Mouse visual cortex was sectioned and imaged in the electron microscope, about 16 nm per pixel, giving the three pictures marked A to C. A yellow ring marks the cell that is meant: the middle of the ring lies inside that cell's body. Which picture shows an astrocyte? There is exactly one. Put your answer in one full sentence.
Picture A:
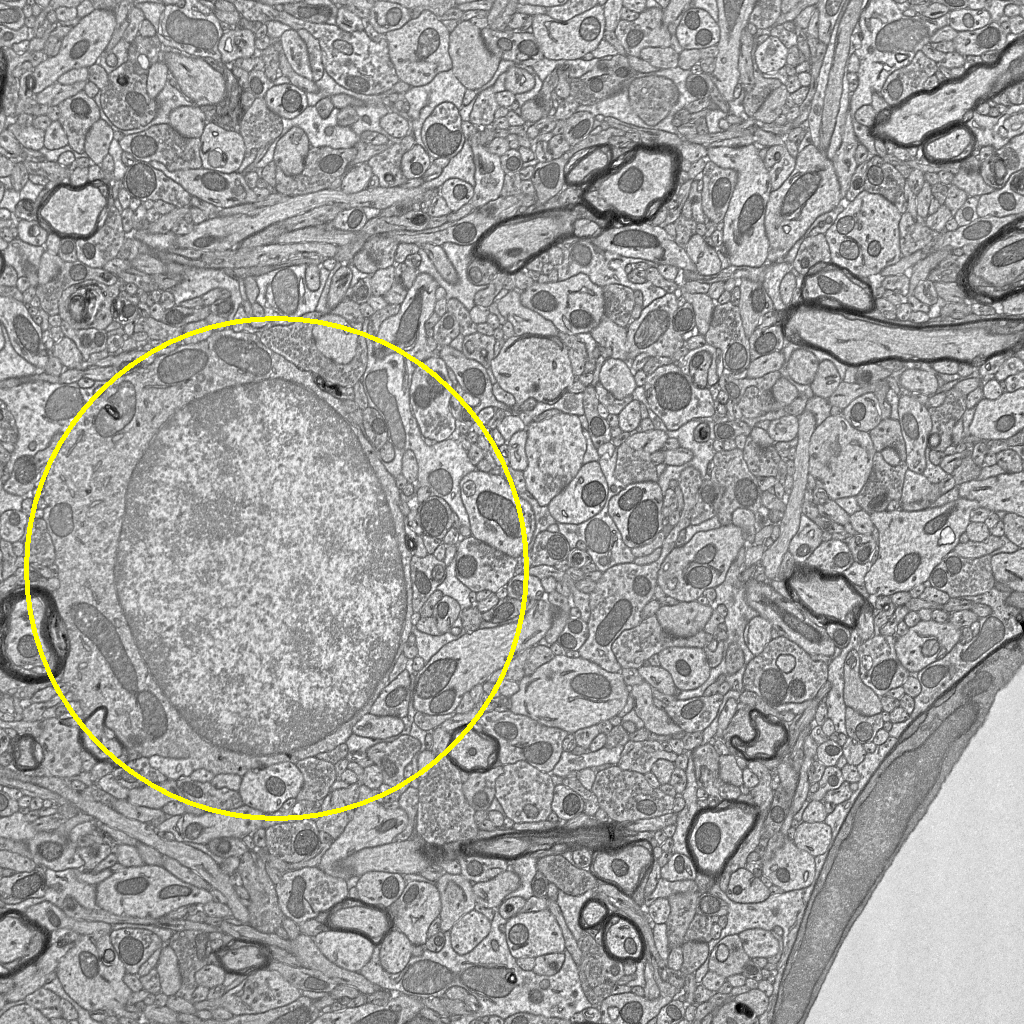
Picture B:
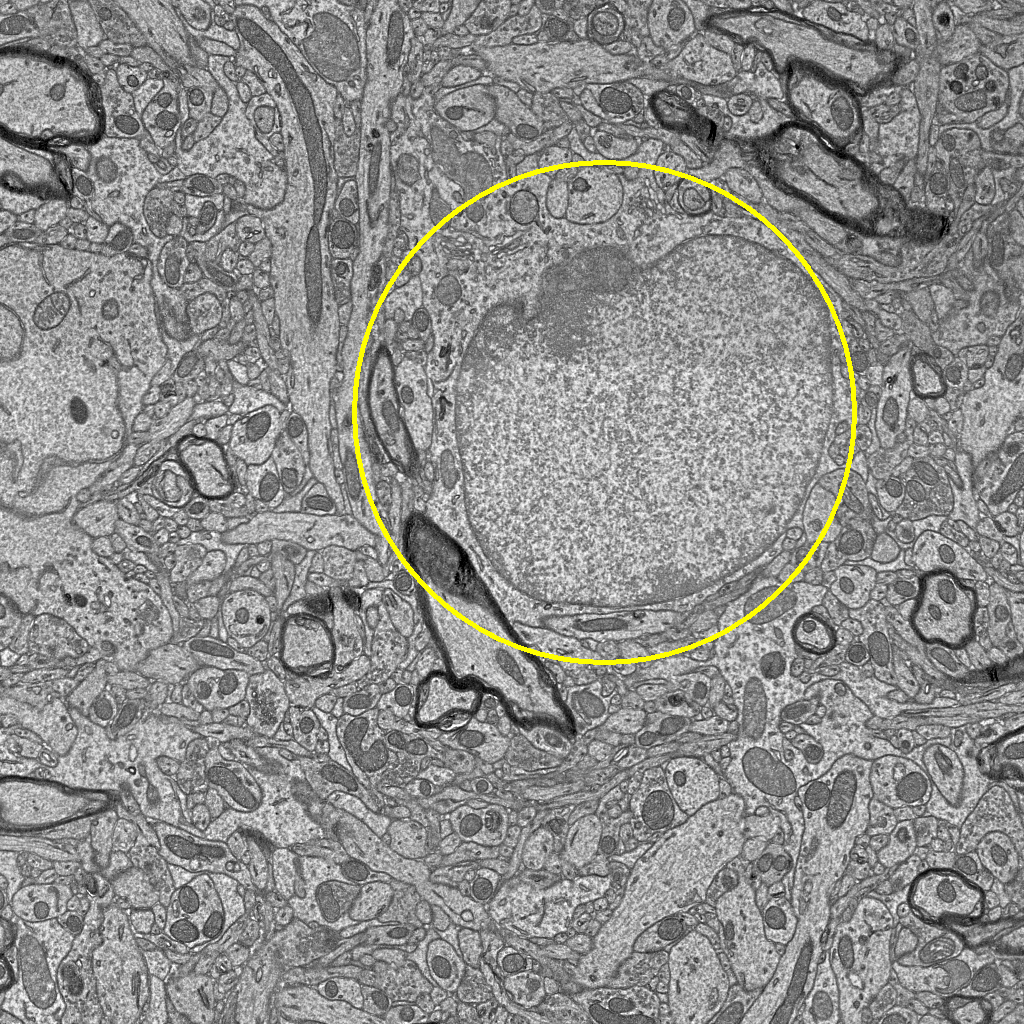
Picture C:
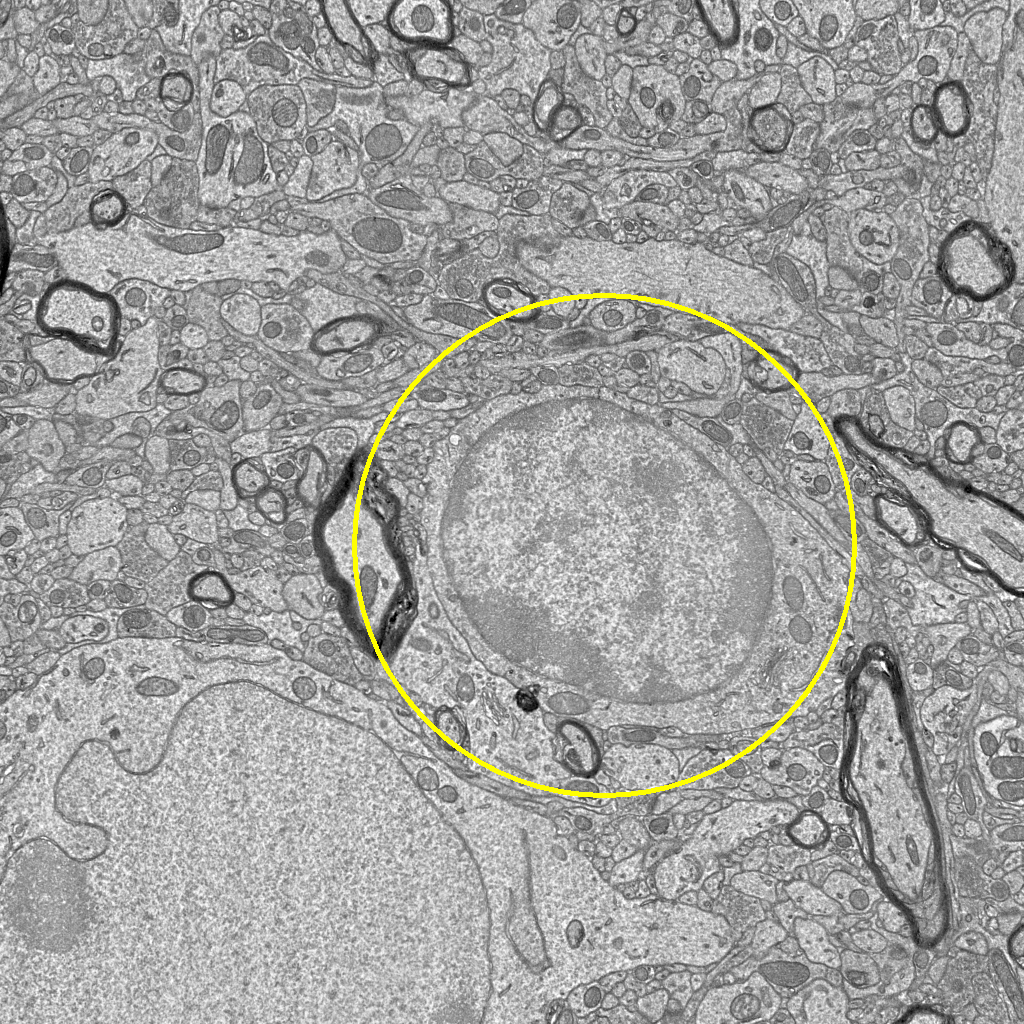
The picture with the astrocyte is B.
